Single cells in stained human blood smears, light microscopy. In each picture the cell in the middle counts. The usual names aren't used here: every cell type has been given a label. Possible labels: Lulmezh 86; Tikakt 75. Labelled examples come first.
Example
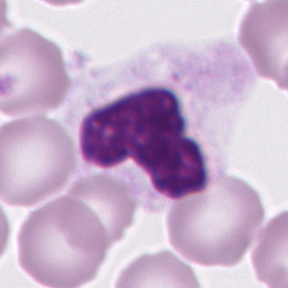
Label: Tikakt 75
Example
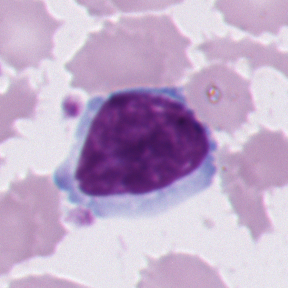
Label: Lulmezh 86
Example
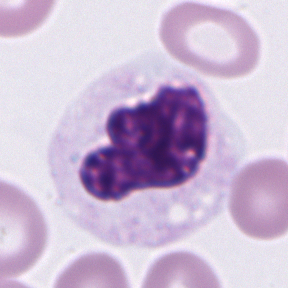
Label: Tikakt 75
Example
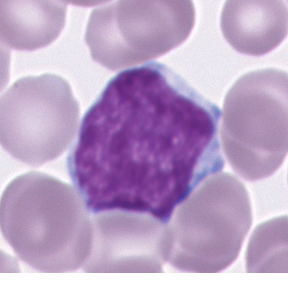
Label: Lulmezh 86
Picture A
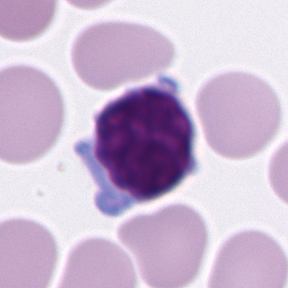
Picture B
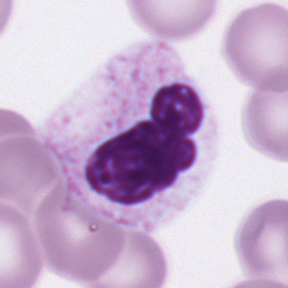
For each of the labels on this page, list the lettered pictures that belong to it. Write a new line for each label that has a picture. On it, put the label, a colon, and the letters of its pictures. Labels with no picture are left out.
Lulmezh 86: A
Tikakt 75: B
